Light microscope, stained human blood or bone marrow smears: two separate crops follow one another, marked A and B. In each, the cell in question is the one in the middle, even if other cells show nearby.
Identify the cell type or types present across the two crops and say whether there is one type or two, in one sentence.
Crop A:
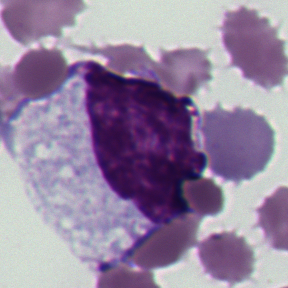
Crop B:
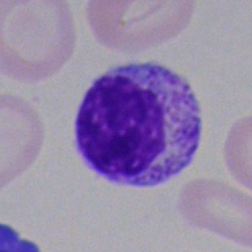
No, in crop A the cell is a monocyte, and in crop B it is a myelocyte.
